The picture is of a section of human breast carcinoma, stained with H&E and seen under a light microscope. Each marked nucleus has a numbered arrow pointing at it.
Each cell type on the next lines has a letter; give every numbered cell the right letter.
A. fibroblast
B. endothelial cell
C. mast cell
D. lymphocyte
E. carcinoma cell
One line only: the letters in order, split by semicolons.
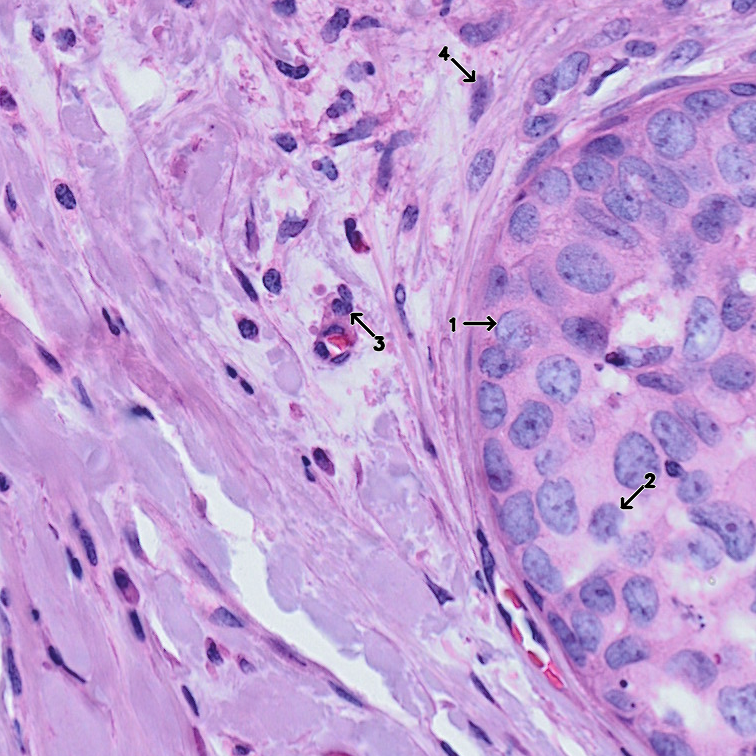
E; E; B; A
